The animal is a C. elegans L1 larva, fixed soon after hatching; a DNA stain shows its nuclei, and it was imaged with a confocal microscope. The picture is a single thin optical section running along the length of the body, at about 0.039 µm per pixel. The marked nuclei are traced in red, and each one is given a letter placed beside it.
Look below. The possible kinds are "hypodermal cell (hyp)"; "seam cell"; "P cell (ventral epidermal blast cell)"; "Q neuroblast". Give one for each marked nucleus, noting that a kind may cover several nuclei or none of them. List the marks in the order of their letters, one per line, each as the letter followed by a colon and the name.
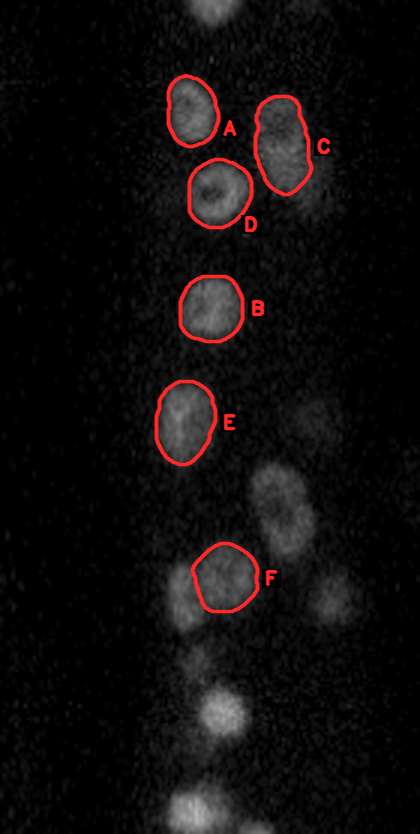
A: P cell (ventral epidermal blast cell)
B: Q neuroblast
C: hypodermal cell (hyp)
D: seam cell
E: P cell (ventral epidermal blast cell)
F: seam cell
